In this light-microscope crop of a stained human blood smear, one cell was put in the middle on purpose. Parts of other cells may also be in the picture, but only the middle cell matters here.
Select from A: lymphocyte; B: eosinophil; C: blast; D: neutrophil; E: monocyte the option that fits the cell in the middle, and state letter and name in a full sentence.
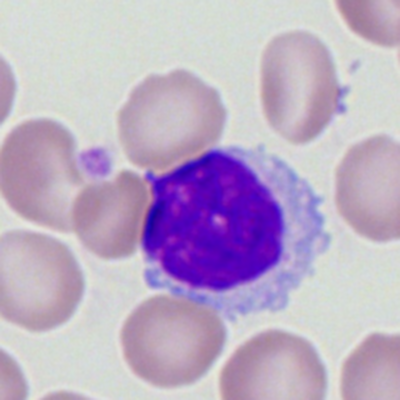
Here the central cell is a lymphocyte, and option A is correct.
